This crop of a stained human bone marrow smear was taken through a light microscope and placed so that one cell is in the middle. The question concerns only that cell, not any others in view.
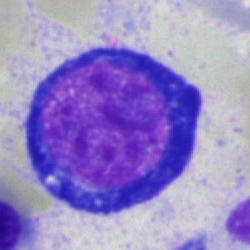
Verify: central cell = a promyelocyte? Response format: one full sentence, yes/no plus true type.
No, the cell in the centre of the crop is a proerythroblast as opposed to a promyelocyte.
